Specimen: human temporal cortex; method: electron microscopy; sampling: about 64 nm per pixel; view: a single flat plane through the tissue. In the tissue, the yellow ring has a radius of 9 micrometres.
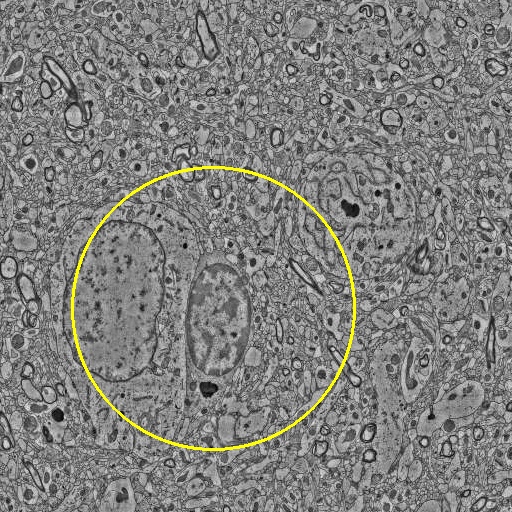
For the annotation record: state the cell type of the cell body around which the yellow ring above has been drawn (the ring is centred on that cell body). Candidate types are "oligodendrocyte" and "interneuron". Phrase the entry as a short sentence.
The ringed cell is an oligodendrocyte.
